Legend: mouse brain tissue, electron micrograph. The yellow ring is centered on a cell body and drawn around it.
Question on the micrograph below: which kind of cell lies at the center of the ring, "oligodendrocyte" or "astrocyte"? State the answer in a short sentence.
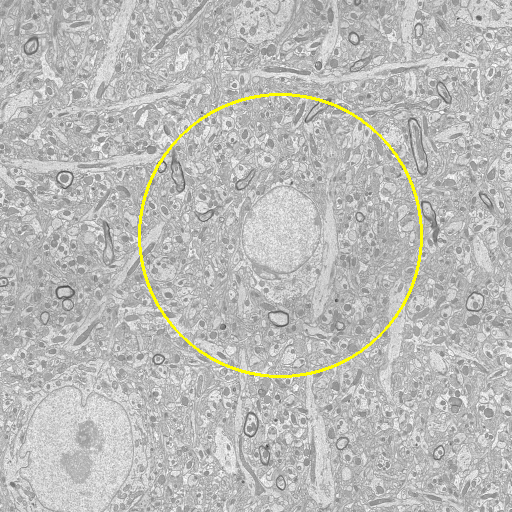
At the center of the ring lies an astrocyte.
